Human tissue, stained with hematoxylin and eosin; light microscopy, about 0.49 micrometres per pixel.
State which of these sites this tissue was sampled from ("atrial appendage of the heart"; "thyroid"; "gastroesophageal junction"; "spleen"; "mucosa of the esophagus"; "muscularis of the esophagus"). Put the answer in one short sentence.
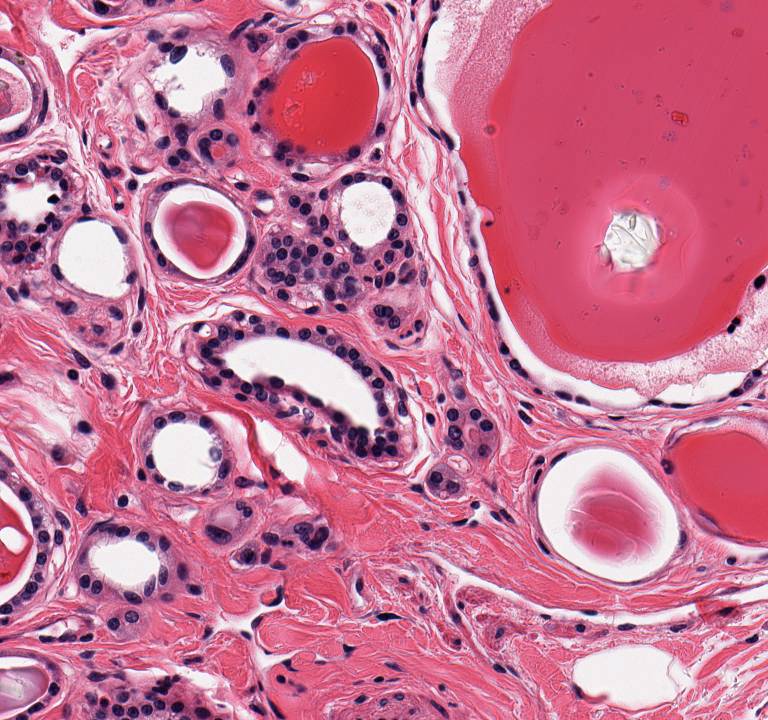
The site this tissue was sampled from is the thyroid.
